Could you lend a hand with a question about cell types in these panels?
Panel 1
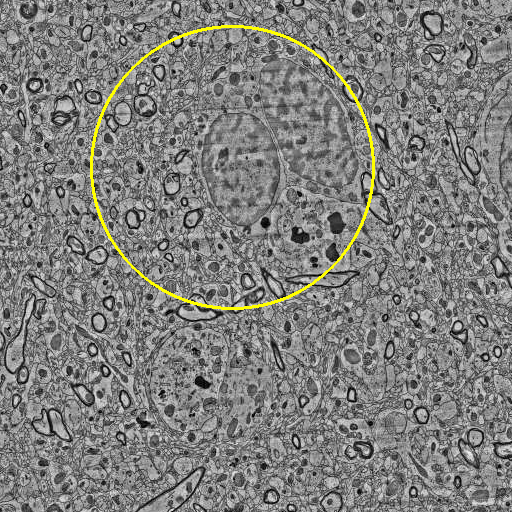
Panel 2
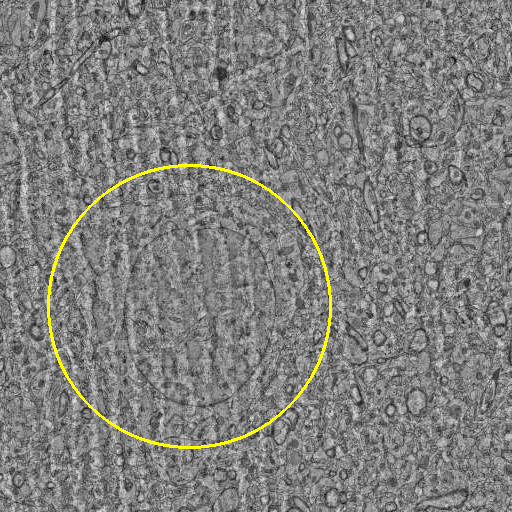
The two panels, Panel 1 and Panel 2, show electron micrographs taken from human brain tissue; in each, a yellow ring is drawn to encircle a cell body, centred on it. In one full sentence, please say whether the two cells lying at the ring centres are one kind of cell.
No, the cells at the ring centres in the two panels are two kinds of cell.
